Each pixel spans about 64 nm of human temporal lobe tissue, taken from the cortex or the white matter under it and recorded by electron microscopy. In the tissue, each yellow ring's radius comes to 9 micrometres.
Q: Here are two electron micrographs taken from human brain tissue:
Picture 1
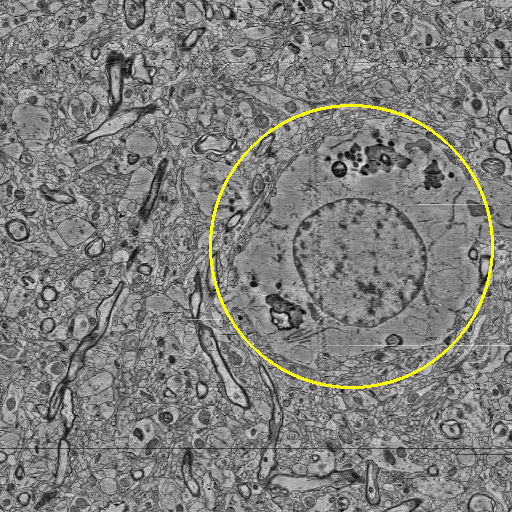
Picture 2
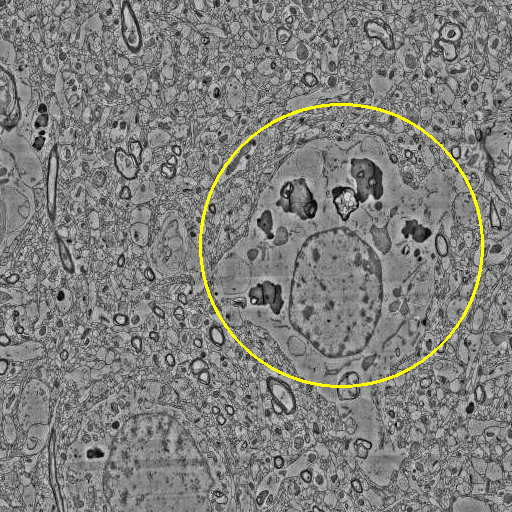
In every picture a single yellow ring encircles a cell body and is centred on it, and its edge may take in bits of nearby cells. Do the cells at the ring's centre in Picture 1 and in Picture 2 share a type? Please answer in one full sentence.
Yes, the cells at the ring's centre in Picture 1 and Picture 2 share a type.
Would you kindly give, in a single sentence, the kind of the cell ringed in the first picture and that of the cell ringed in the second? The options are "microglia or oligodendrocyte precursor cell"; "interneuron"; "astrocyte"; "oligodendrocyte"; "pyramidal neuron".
The ring centre holds an astrocyte in each of the two pictures.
